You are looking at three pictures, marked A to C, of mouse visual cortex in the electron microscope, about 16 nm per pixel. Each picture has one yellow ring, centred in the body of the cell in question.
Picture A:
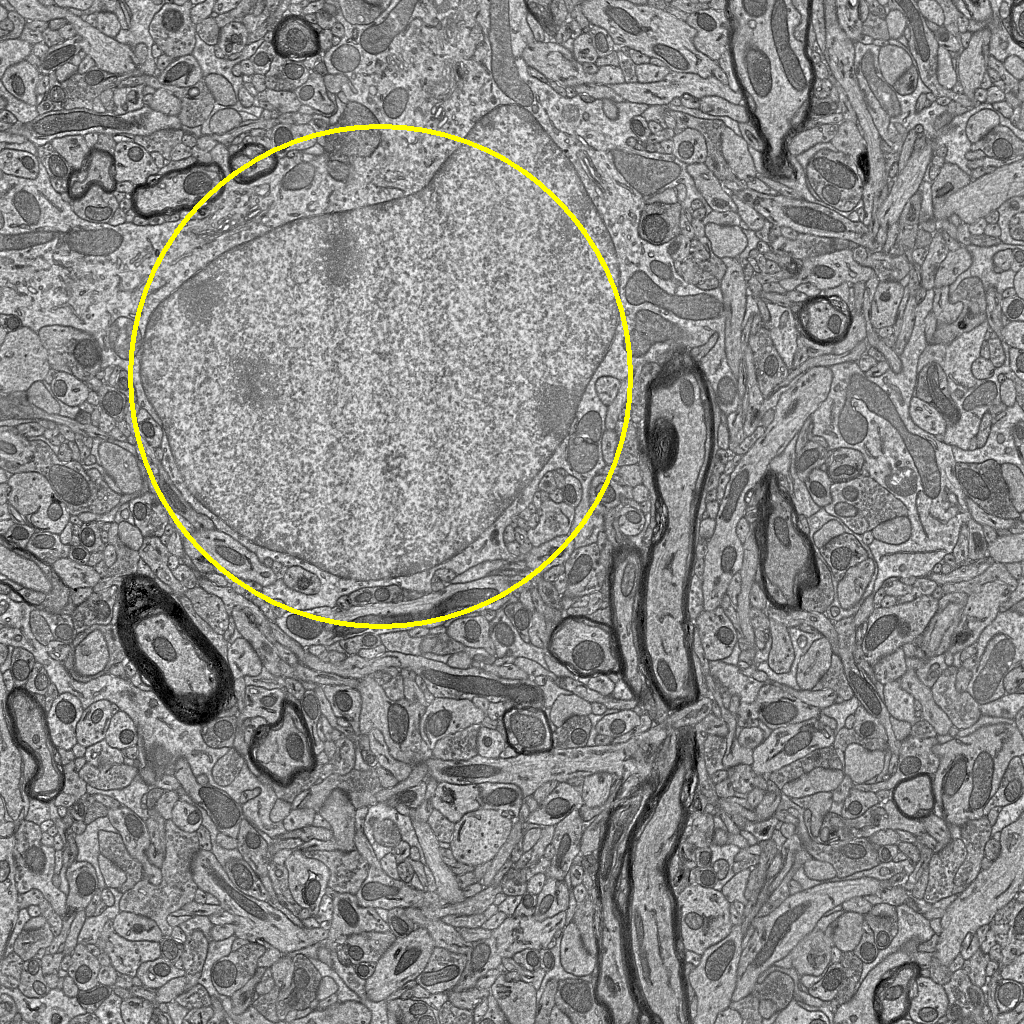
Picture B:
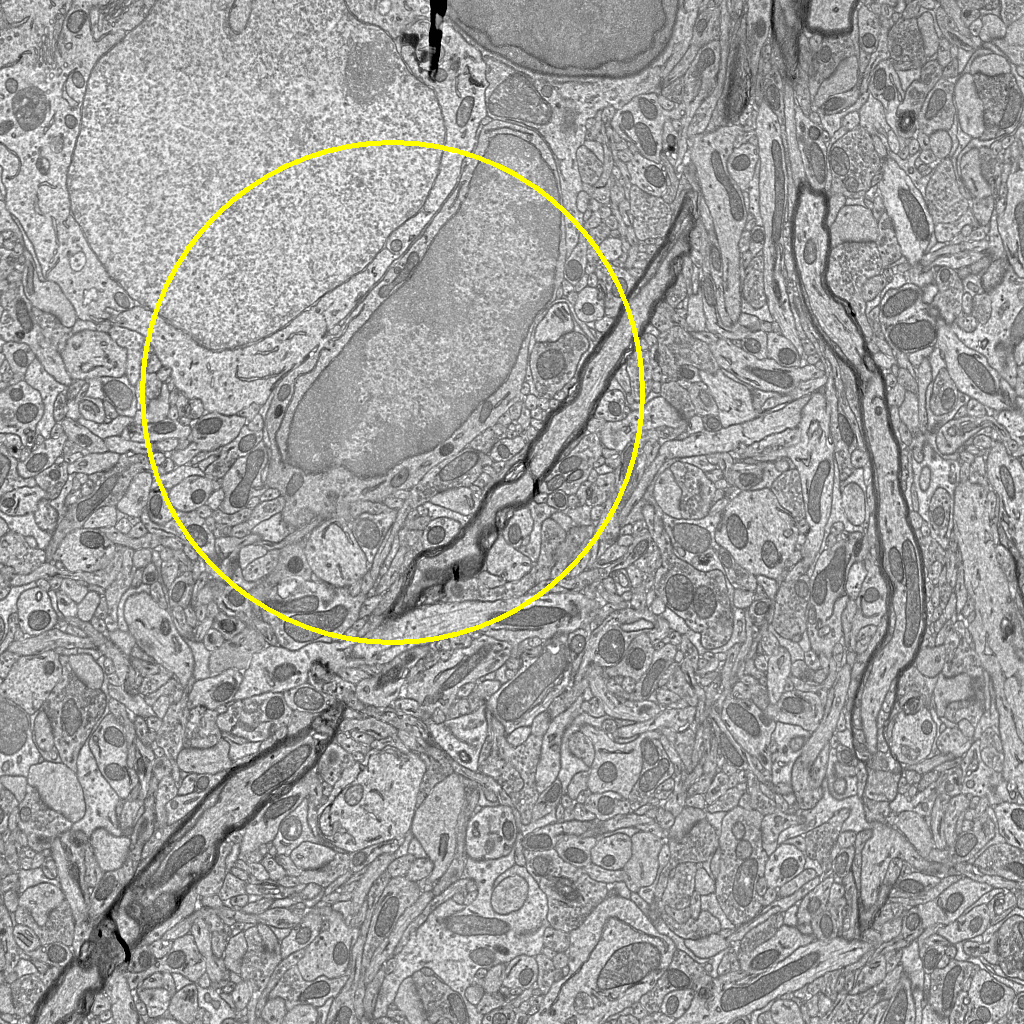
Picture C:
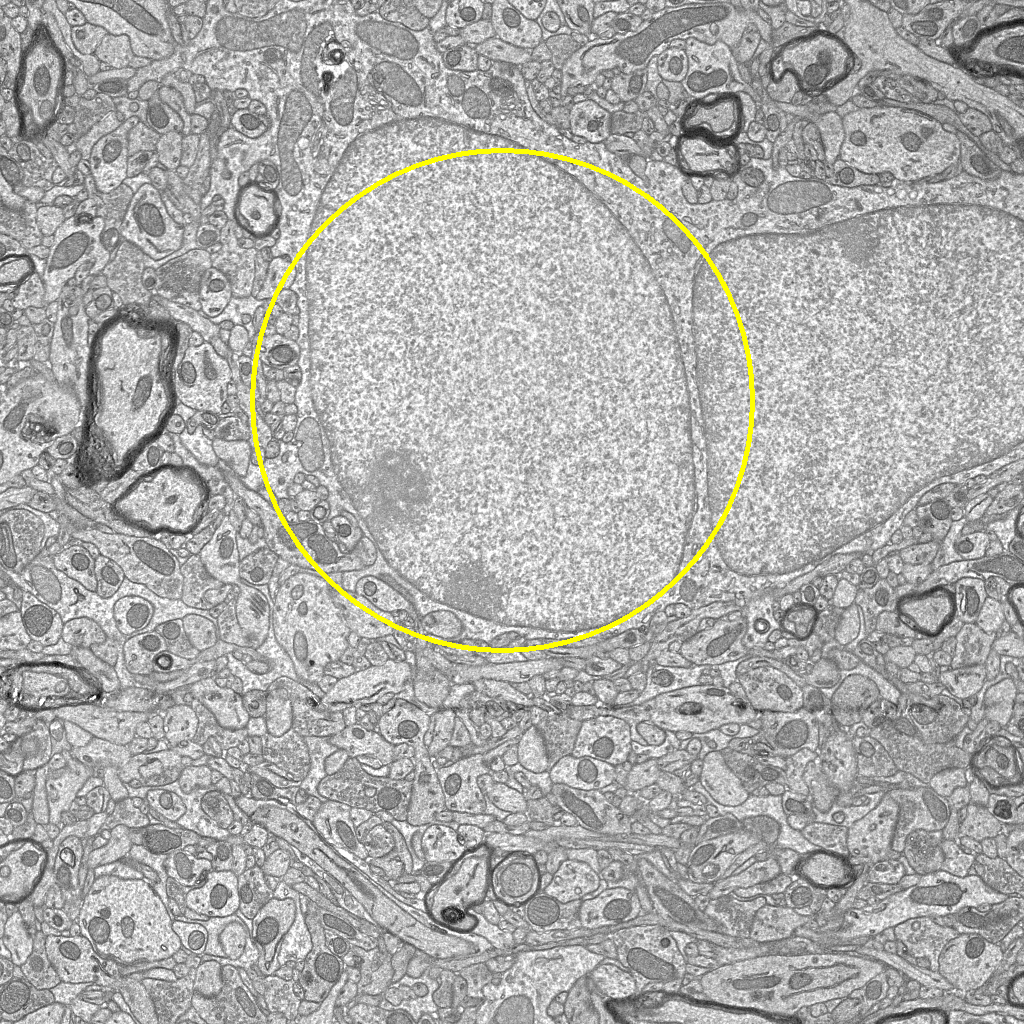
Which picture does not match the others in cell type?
Picture B is the odd one out: it shows a microglial cell, while the others show astrocytes.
